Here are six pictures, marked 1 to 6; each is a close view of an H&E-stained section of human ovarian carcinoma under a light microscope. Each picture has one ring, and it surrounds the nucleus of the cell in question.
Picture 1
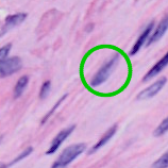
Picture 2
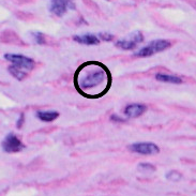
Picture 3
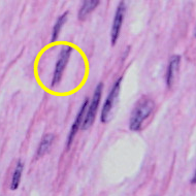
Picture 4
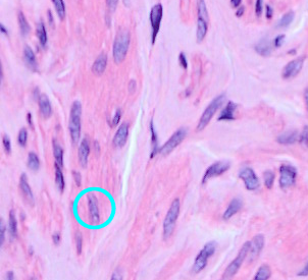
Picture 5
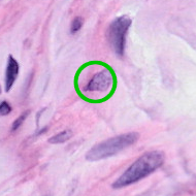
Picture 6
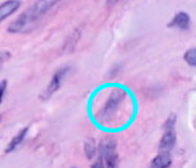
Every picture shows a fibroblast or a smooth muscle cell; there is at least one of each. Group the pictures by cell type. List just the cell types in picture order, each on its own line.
smooth muscle cell
fibroblast
fibroblast
smooth muscle cell
smooth muscle cell
smooth muscle cell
